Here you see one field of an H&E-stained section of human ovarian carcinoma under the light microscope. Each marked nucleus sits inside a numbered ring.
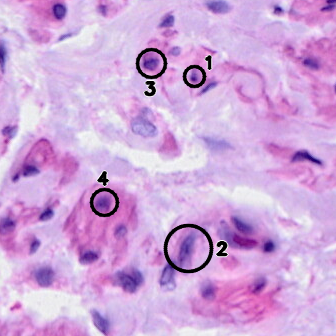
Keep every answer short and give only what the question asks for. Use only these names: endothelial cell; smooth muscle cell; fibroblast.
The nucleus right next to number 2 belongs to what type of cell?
fibroblast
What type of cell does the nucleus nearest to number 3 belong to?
smooth muscle cell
